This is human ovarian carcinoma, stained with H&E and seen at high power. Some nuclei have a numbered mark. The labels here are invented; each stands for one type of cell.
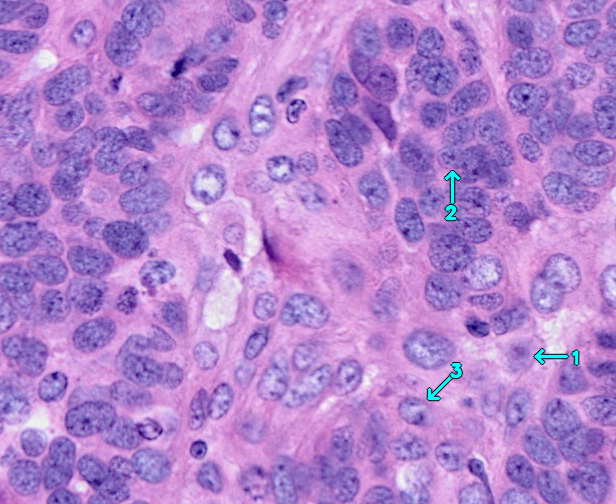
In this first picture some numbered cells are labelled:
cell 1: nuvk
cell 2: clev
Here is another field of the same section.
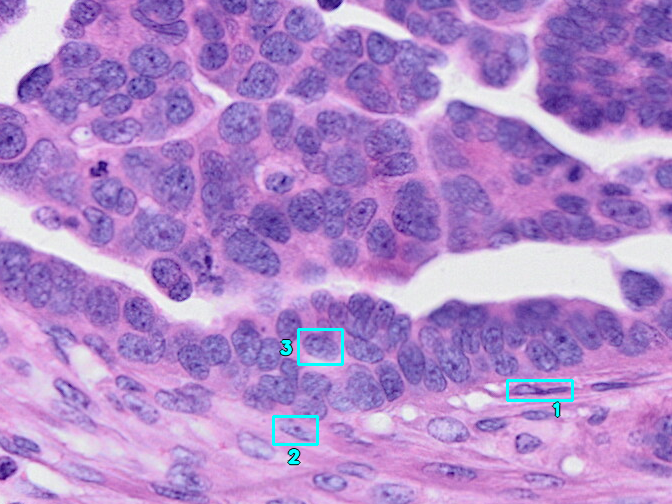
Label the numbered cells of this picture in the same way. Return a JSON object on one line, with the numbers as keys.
{"1": "nuvk", "2": "nuvk", "3": "clev"}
